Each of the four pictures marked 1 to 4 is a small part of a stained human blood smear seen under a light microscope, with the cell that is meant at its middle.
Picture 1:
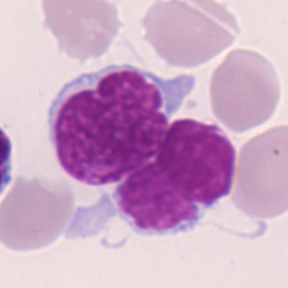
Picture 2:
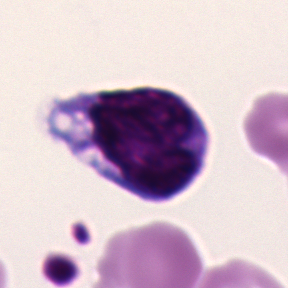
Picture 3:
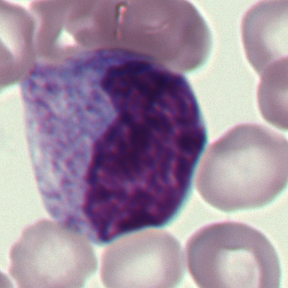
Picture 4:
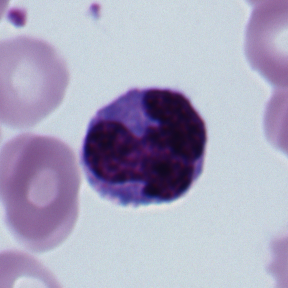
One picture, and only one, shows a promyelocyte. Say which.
3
